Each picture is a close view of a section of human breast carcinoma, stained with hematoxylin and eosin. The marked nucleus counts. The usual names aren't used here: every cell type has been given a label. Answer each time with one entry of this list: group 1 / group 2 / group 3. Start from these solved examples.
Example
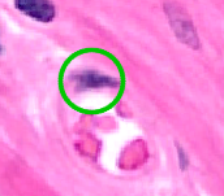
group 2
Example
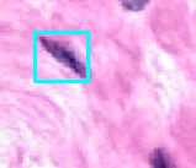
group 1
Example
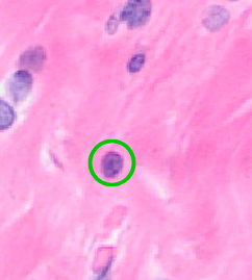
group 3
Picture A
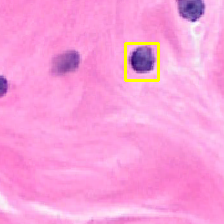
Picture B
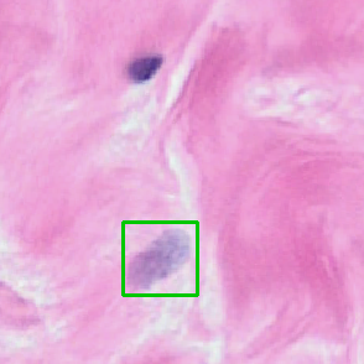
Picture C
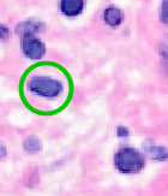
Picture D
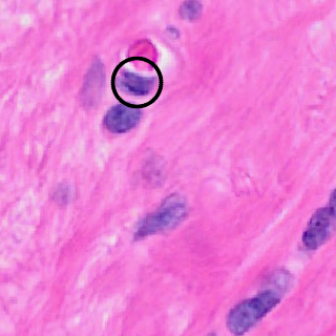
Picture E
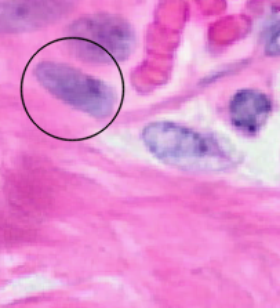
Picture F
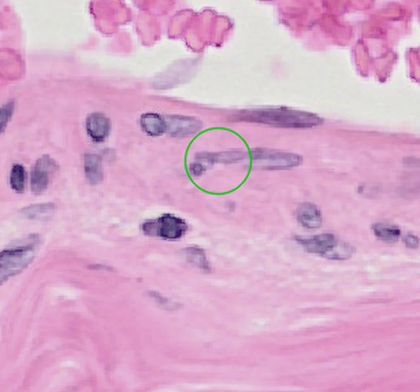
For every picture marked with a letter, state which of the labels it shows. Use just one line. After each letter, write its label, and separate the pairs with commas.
A group 3, B group 1, C group 3, D group 2, E group 2, F group 2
